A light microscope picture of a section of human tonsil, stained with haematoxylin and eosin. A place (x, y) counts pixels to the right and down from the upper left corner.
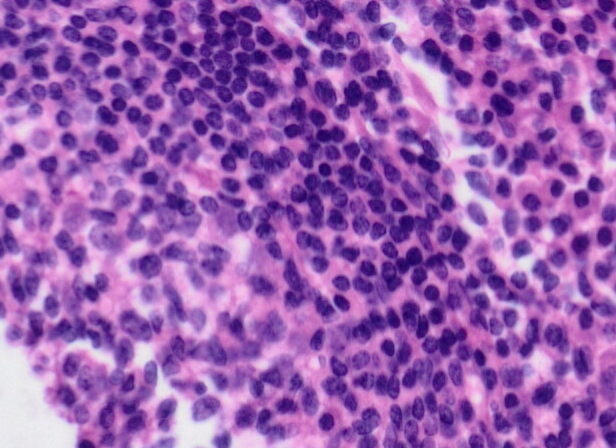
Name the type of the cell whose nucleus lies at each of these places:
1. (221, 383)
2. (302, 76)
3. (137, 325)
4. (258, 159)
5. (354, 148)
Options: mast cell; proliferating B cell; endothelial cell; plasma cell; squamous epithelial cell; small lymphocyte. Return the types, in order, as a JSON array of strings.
["proliferating B cell", "small lymphocyte", "proliferating B cell", "small lymphocyte", "small lymphocyte"]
